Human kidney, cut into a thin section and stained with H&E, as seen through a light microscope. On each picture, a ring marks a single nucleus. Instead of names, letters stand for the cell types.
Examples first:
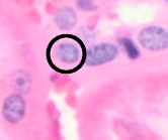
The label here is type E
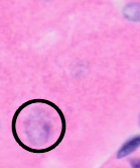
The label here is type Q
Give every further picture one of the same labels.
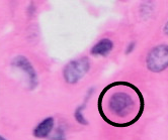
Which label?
type Q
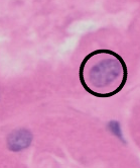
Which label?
type Q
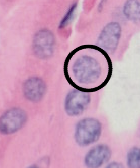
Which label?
type E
